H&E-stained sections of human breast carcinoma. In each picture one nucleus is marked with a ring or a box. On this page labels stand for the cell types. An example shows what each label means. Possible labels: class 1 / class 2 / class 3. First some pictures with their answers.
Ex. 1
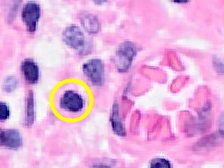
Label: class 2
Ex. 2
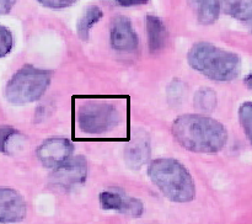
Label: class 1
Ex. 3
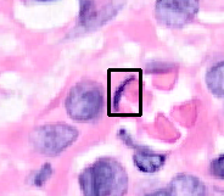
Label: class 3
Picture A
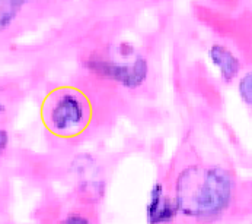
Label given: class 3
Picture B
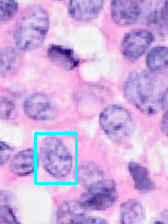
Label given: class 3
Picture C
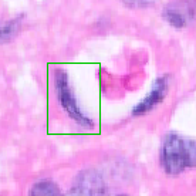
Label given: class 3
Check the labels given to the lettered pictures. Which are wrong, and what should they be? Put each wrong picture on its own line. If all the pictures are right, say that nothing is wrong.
Wrong: B (class 3); correct: class 1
